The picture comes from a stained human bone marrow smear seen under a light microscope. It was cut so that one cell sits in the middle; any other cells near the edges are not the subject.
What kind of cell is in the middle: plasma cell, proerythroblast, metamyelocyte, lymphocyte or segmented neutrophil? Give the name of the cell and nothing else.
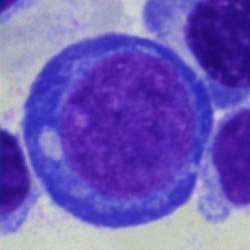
proerythroblast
